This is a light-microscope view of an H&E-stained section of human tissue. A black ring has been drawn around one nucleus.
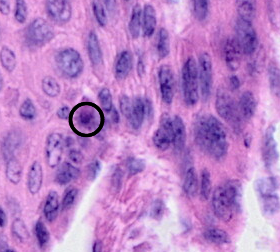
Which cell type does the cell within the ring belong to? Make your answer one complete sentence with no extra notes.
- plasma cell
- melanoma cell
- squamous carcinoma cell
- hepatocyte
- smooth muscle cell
In cell-type terms, the cell within the ring is a squamous carcinoma cell.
